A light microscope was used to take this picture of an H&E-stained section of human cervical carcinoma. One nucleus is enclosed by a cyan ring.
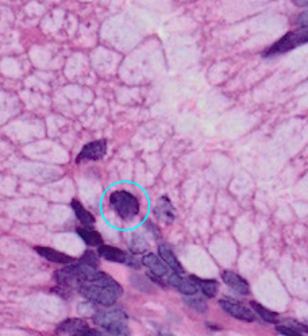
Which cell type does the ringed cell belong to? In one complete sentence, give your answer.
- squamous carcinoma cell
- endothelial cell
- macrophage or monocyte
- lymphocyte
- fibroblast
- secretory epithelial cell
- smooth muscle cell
In this field of tissue, the ringed cell is a secretory epithelial cell.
